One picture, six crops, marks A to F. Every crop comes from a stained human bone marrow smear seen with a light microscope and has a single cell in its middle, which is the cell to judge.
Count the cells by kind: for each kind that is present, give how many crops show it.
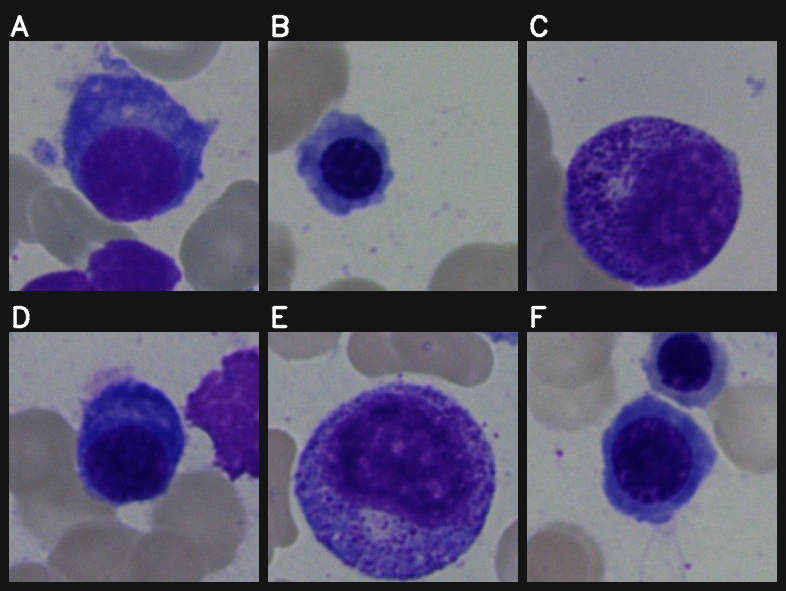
plasma cell: 2
erythroblast: 2
myelocyte: 2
